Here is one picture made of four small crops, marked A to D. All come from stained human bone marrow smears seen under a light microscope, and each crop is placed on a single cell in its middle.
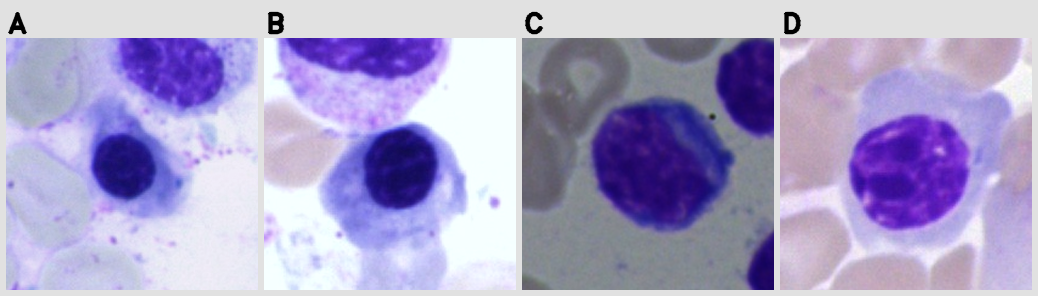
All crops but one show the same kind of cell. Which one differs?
C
